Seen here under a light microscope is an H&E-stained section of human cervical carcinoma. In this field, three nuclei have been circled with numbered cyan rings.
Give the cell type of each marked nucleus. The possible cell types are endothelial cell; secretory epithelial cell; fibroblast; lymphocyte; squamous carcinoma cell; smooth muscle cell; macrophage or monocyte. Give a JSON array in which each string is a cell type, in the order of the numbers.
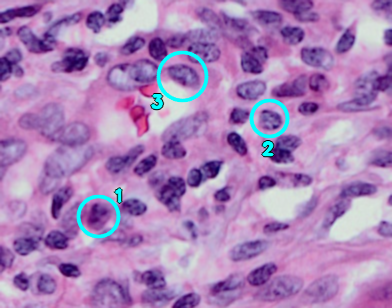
["macrophage or monocyte", "lymphocyte", "endothelial cell"]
